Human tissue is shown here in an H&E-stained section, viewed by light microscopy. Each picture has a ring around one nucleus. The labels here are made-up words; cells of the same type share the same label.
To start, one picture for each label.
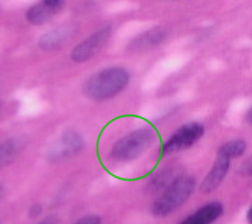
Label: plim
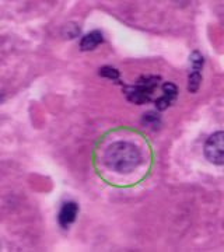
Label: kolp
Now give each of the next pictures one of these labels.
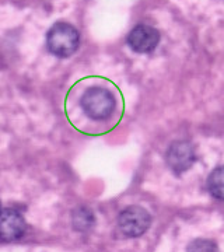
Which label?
kolp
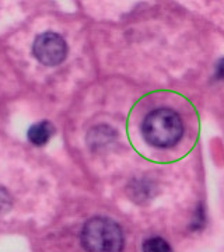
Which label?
kolp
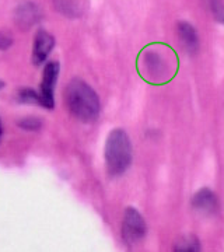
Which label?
plim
